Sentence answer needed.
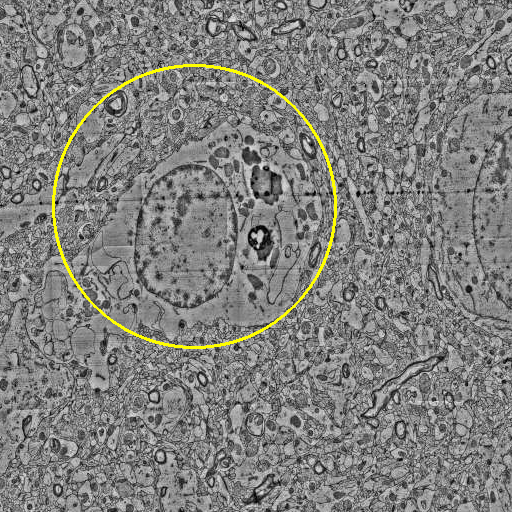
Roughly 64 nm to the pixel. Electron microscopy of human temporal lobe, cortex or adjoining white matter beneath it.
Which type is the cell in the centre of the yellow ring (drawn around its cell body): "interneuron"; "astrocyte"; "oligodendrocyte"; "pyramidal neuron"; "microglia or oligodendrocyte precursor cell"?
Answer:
In the centre of the yellow ring is an astrocyte.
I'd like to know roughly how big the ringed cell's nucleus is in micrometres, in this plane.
The nucleus works out at approximately 9 by 6 micrometres in this plane.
